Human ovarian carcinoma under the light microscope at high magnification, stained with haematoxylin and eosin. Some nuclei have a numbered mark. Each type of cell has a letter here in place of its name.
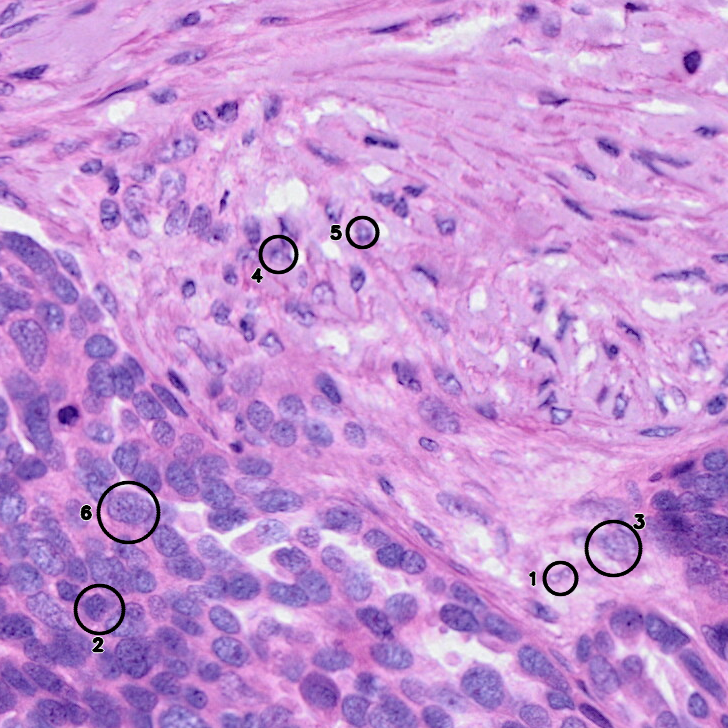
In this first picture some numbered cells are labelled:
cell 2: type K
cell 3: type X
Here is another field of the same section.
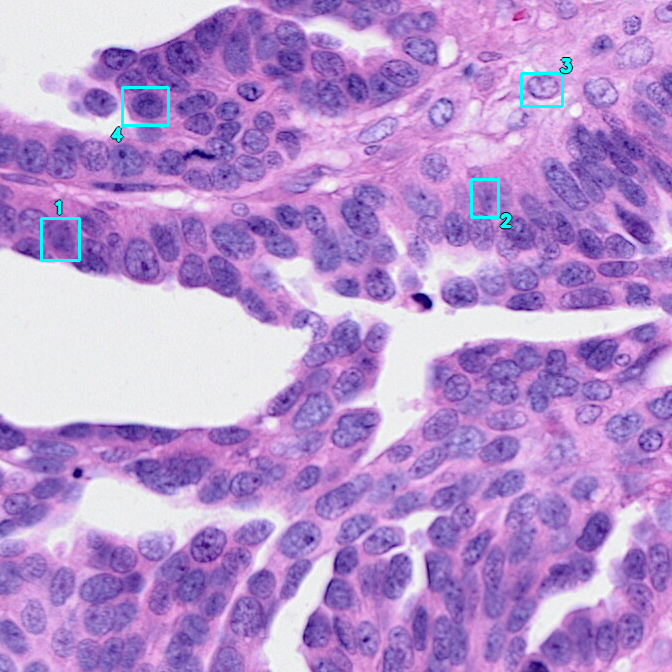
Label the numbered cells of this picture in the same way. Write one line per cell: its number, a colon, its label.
1: type K
2: type K
3: type X
4: type K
